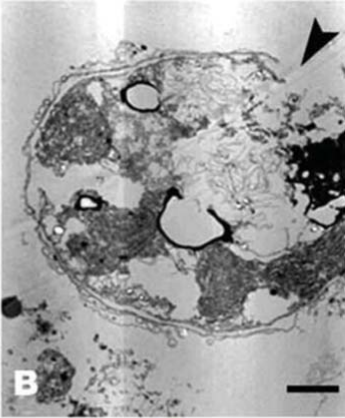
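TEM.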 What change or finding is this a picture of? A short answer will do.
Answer: The thylakoids are unpacked and dispersed inside the cells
